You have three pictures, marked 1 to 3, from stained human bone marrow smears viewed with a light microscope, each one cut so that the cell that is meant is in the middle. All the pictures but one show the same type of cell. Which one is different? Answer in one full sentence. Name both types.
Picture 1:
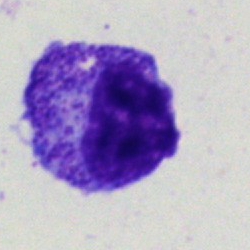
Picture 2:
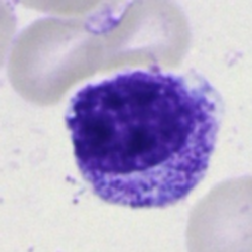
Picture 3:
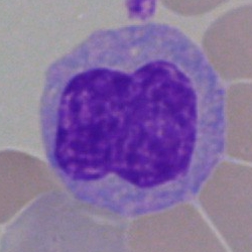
Picture 3 differs, because its cell is a monocyte and the rest are myelocytes.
